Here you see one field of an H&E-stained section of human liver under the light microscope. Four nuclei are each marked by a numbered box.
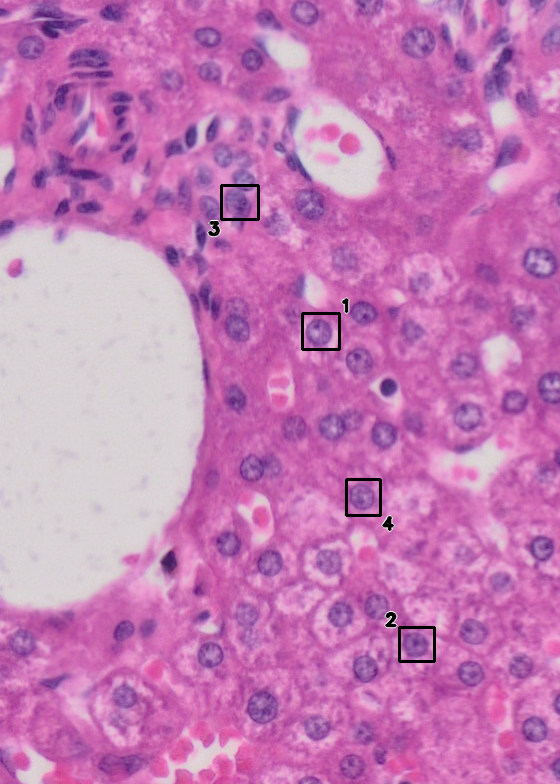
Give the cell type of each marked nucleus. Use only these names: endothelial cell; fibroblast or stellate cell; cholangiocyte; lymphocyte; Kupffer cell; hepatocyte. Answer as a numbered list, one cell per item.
1. hepatocyte
2. hepatocyte
3. cholangiocyte
4. hepatocyte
